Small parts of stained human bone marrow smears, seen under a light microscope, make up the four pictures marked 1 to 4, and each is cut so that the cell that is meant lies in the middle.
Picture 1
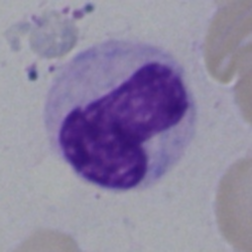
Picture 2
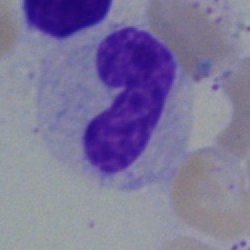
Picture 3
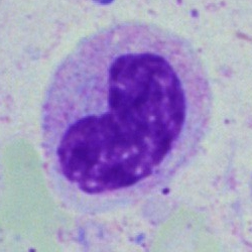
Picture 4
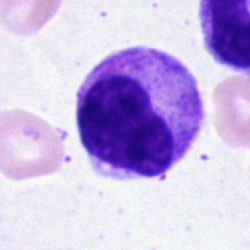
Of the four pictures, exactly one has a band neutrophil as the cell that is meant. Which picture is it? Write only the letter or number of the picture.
2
